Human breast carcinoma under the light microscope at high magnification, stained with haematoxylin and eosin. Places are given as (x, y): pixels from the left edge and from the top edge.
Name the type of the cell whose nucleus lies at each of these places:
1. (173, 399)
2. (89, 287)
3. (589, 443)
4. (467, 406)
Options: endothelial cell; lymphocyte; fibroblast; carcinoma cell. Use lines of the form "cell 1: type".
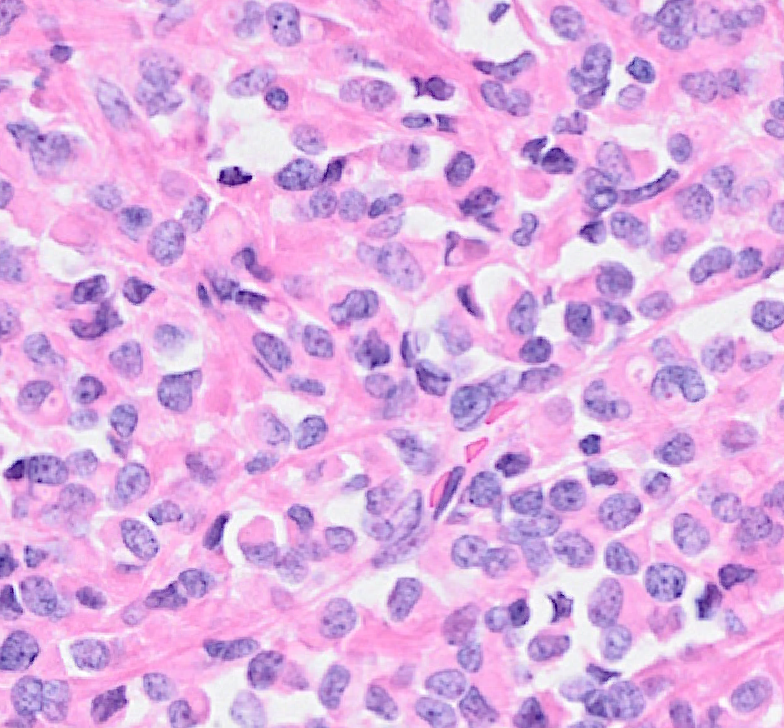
cell 1: carcinoma cell
cell 2: carcinoma cell
cell 3: lymphocyte
cell 4: endothelial cell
